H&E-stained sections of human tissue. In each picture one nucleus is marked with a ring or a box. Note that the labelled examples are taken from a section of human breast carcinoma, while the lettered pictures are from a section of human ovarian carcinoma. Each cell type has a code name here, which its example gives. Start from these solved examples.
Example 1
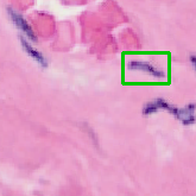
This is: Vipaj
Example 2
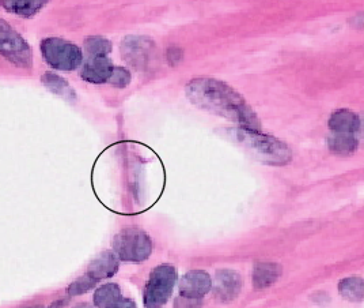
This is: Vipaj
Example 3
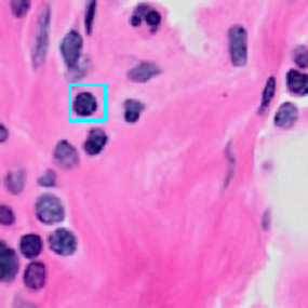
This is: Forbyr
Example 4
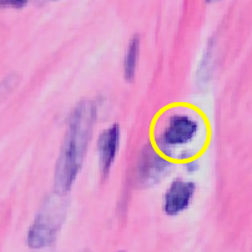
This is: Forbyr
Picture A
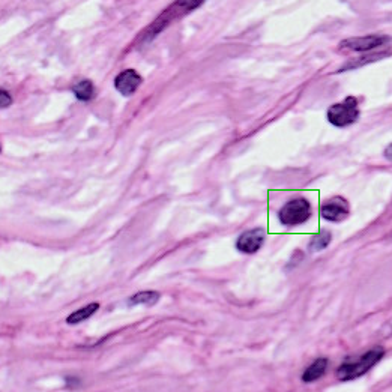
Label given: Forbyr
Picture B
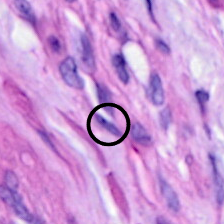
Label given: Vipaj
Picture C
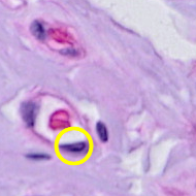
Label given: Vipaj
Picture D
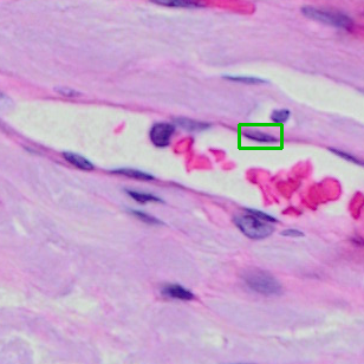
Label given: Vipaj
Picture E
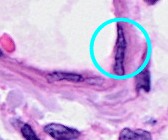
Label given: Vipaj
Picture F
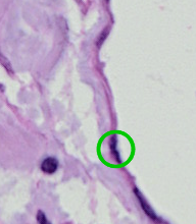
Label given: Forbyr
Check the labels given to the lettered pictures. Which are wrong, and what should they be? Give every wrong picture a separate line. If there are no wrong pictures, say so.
F should be Vipaj, not Forbyr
